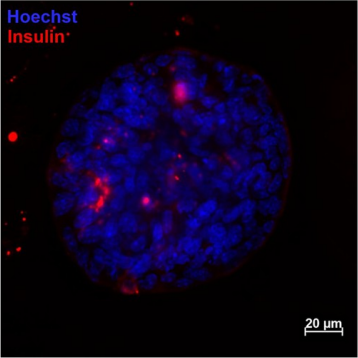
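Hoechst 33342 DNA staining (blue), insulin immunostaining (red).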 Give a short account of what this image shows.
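This is a whole isolated pancreatic islet, seen as a rounded ball of tightly packed cells. The blue-stained nuclei are round to oval and fill the cluster densely, lying close against one another with little space between them. The red stain is patchy, appearing as scattered bright spots and small clusters among the nuclei rather than evenly through the islet. Between these spots the cytoplasm shows only faint red. The outer edge of the cluster is smooth and rounded.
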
